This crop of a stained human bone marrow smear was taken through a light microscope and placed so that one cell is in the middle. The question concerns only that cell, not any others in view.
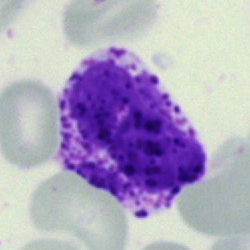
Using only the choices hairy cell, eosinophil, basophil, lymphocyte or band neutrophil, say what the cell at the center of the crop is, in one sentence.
Standing at the centre of this crop is a basophil.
